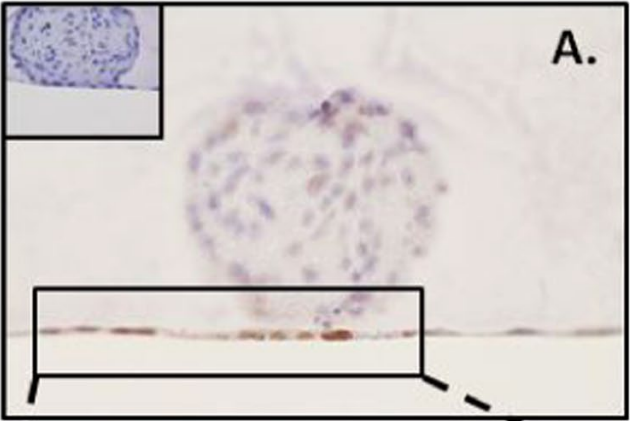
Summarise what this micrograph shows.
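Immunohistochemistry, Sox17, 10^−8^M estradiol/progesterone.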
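A rounded spheroid of loosely packed cells sits on a thin, single layer of flattened cells. The spheroid's nuclei are mostly blue-purple, a few tinged brown, scattered through pale cytoplasm. Below it the flat layer runs horizontally; its elongated nuclei are stained brown, most deeply where the spheroid touches the layer, while farther along the layer the staining fades. A small inset in the corner shows a comparable spheroid with only blue nuclei and no brown. This is an embryo-like spheroid adhering to an epithelial monolayer, with nuclear staining concentrated at the contact site.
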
